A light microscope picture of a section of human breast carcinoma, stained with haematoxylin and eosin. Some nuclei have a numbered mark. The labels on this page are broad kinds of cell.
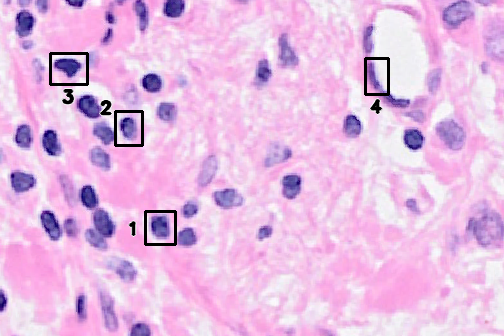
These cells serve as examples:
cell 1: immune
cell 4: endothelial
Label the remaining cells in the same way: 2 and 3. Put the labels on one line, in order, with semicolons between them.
immune; immune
